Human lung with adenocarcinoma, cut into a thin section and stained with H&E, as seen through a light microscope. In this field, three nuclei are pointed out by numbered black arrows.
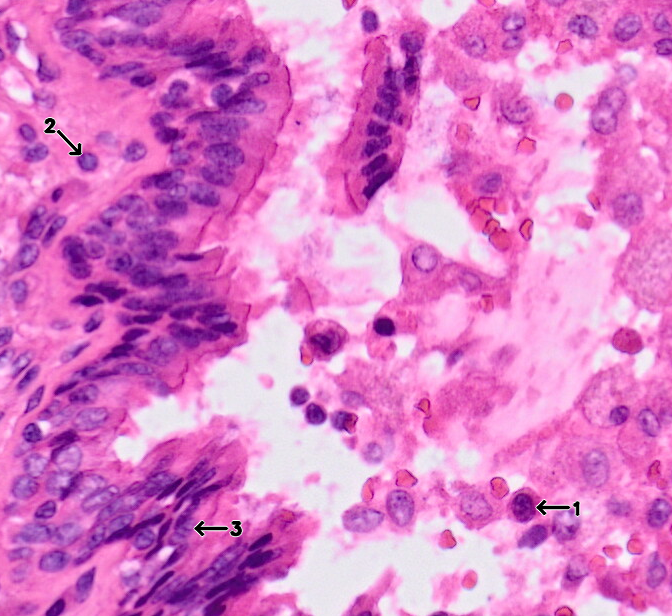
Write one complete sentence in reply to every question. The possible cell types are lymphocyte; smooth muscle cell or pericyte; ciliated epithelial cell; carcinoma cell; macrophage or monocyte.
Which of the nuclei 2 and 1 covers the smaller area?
Nucleus 2 is the smaller one; nucleus 1 covers about 1.5 times its area.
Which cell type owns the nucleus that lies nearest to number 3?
Closest to number 3 lies the nucleus of a ciliated epithelial cell.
